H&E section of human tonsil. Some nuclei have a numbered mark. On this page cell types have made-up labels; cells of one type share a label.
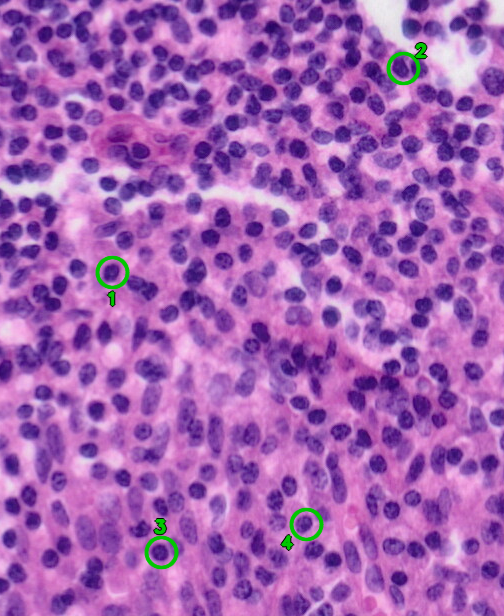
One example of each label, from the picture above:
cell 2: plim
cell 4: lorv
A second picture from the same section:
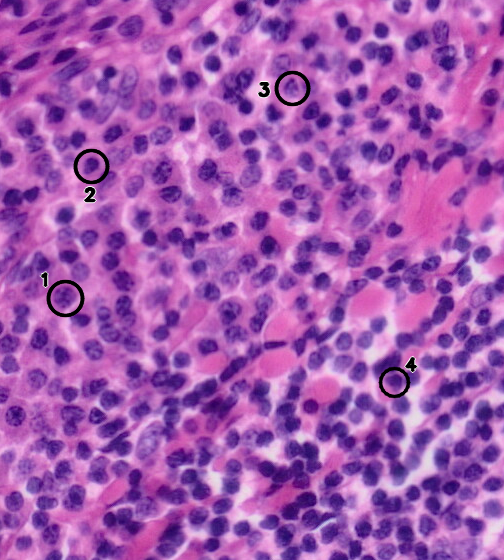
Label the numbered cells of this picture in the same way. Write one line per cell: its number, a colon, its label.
1: lorv
2: lorv
3: lorv
4: plim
